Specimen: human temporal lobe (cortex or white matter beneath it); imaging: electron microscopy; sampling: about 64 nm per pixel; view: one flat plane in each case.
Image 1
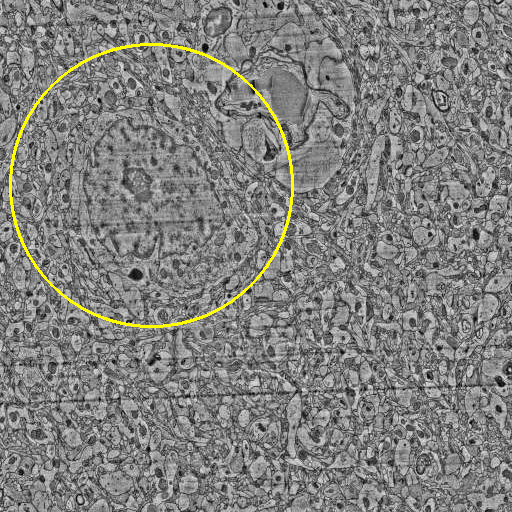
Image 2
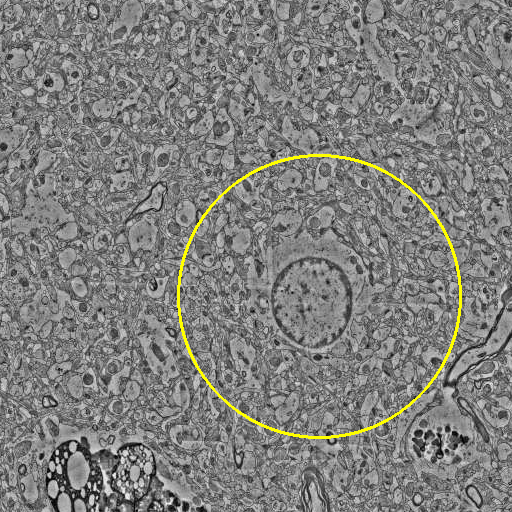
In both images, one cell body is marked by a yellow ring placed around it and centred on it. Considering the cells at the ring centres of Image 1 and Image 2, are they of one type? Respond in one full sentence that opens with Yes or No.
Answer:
No, two types apply to the ring-centred cells of Image 1 and Image 2.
